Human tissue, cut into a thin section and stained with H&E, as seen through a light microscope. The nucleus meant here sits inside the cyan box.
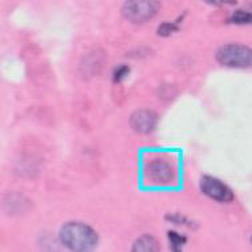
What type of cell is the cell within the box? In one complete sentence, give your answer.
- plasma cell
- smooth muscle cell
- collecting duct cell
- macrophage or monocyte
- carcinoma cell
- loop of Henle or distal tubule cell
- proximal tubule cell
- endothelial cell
In cell-type terms, the cell within the box is a loop of Henle or distal tubule cell.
